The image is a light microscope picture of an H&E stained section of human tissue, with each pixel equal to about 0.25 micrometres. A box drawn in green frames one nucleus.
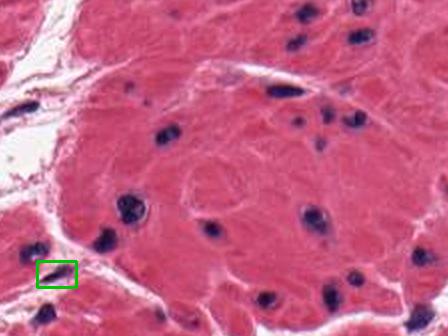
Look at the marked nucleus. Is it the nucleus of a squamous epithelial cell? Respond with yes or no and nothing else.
no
